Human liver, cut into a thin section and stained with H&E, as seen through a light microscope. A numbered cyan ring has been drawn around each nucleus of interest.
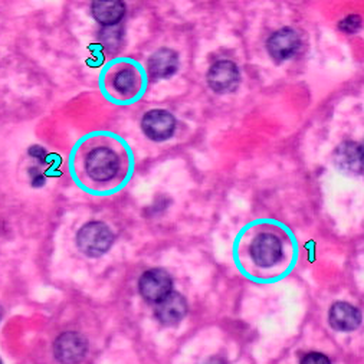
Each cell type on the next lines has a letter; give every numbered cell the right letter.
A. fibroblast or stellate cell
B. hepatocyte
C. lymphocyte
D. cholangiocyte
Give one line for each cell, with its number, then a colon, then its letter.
1: B
2: B
3: A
